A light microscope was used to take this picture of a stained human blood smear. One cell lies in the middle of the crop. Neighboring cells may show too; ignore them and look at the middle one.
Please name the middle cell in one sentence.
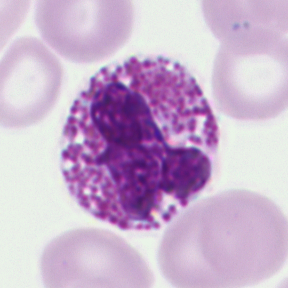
The cell occupying the middle of the crop is an eosinophil.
